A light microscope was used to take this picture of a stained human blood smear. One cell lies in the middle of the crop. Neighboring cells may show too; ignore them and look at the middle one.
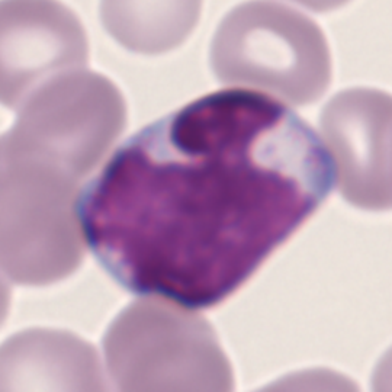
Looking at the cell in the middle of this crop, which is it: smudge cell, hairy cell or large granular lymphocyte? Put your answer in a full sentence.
The cell that lies at the centre of the crop is a large granular lymphocyte.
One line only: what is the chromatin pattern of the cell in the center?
Check the chromatin: it is fine and not coarsely clumped.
